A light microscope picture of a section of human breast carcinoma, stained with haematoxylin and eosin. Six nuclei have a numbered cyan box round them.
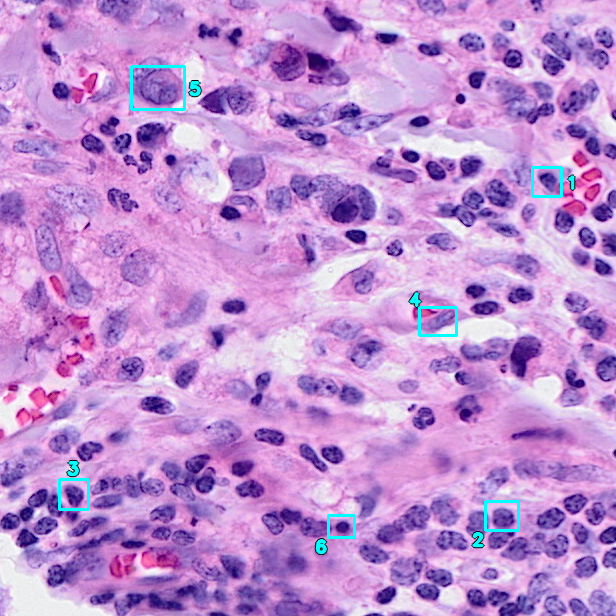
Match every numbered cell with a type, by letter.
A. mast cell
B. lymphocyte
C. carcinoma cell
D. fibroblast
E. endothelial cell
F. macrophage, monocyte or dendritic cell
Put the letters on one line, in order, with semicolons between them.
B; B; B; E; C; B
